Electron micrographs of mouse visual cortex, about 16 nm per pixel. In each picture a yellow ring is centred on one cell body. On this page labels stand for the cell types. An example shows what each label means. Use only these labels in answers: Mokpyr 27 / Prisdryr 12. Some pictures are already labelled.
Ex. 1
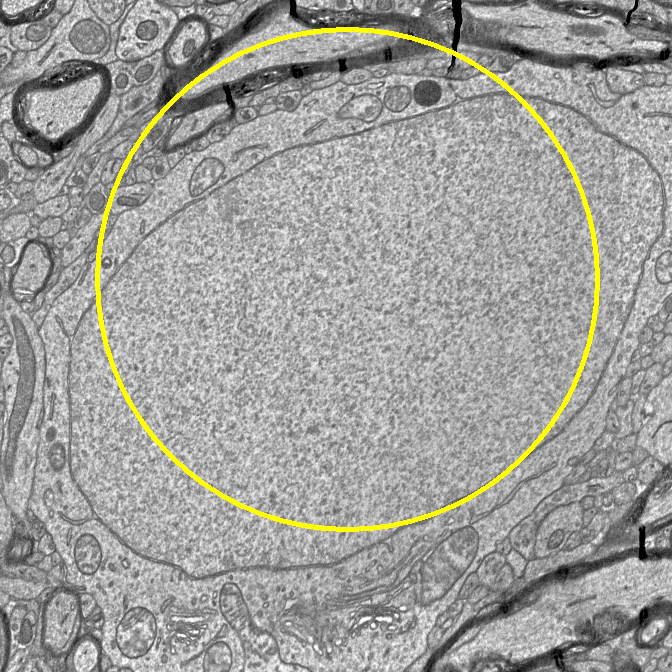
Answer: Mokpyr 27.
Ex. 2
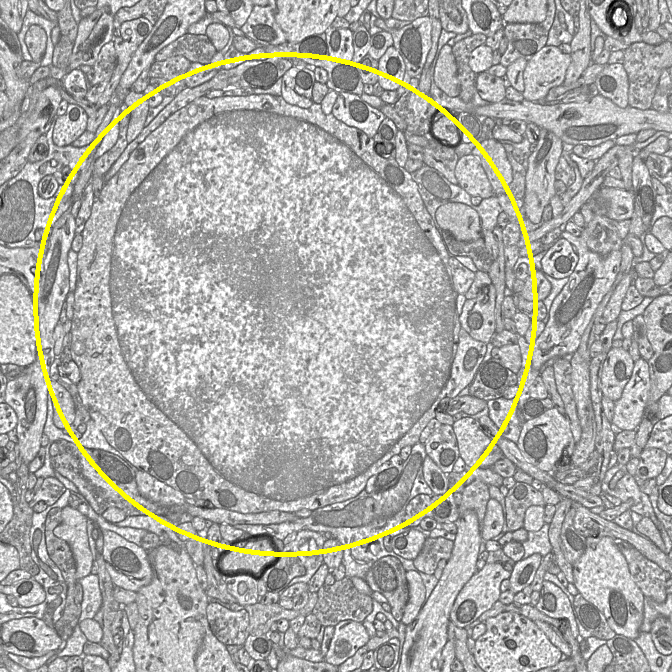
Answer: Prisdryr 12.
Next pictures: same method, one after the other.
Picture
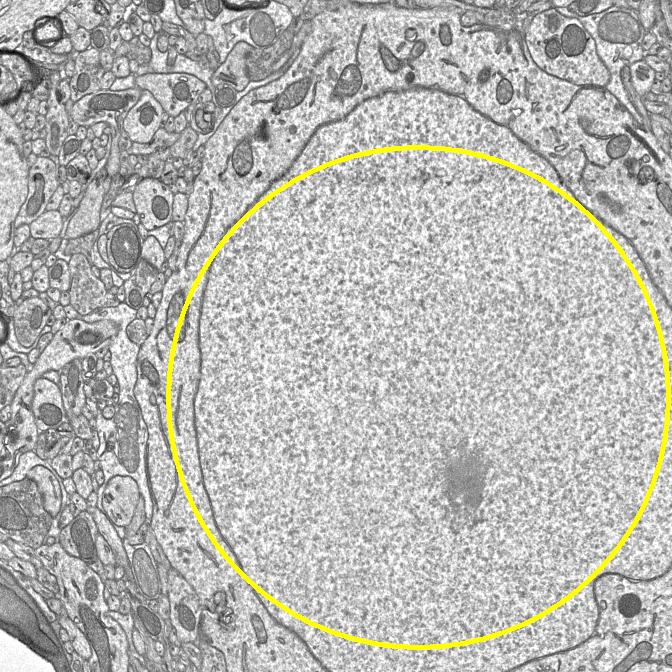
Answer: Mokpyr 27.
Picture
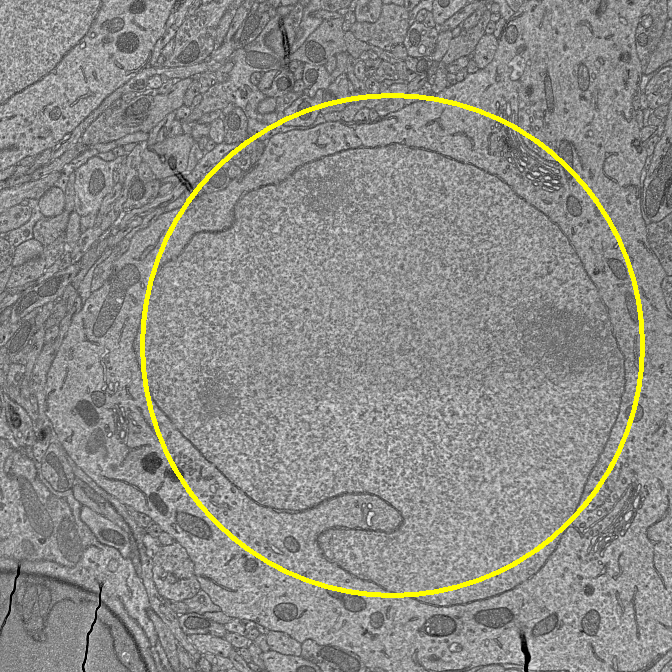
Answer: Mokpyr 27.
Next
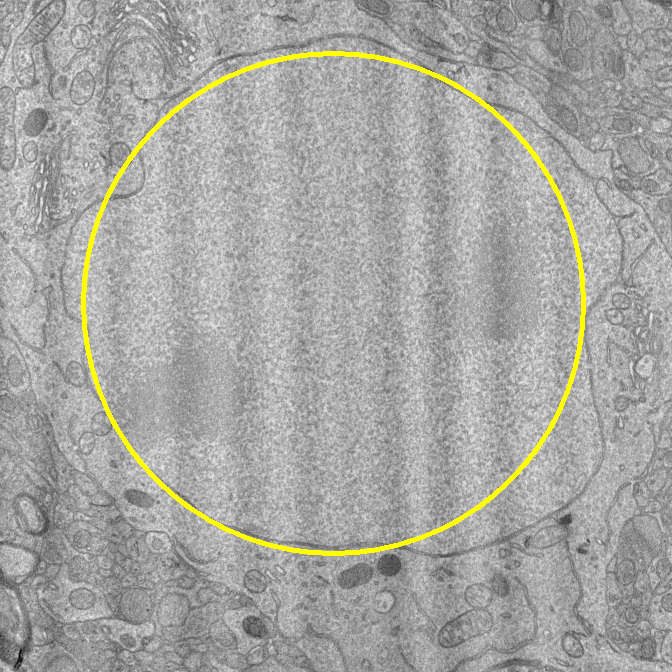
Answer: Mokpyr 27.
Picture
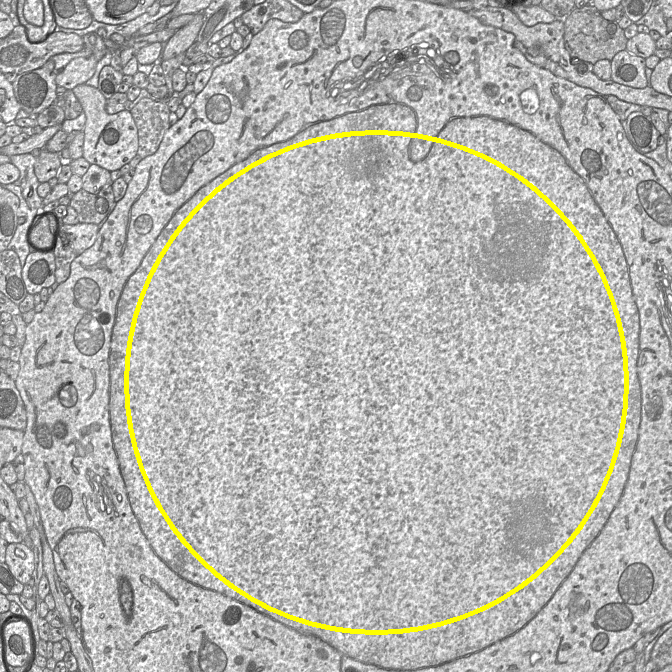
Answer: Mokpyr 27.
